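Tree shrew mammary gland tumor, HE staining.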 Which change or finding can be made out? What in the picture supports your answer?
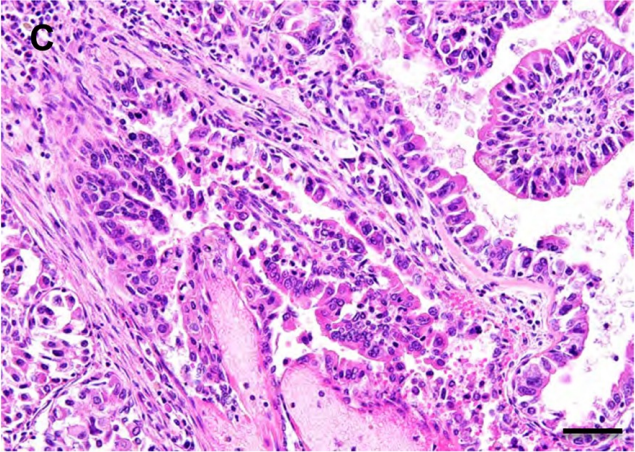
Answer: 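Tubules and papillary structures lined by crowded columnar cells. Tumor cell cords and nests lie within spindle-cell stroma. Nuclei are enlarged, variable, with prominent nucleoli.
Conclusion: tubulopapillary carcinoma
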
